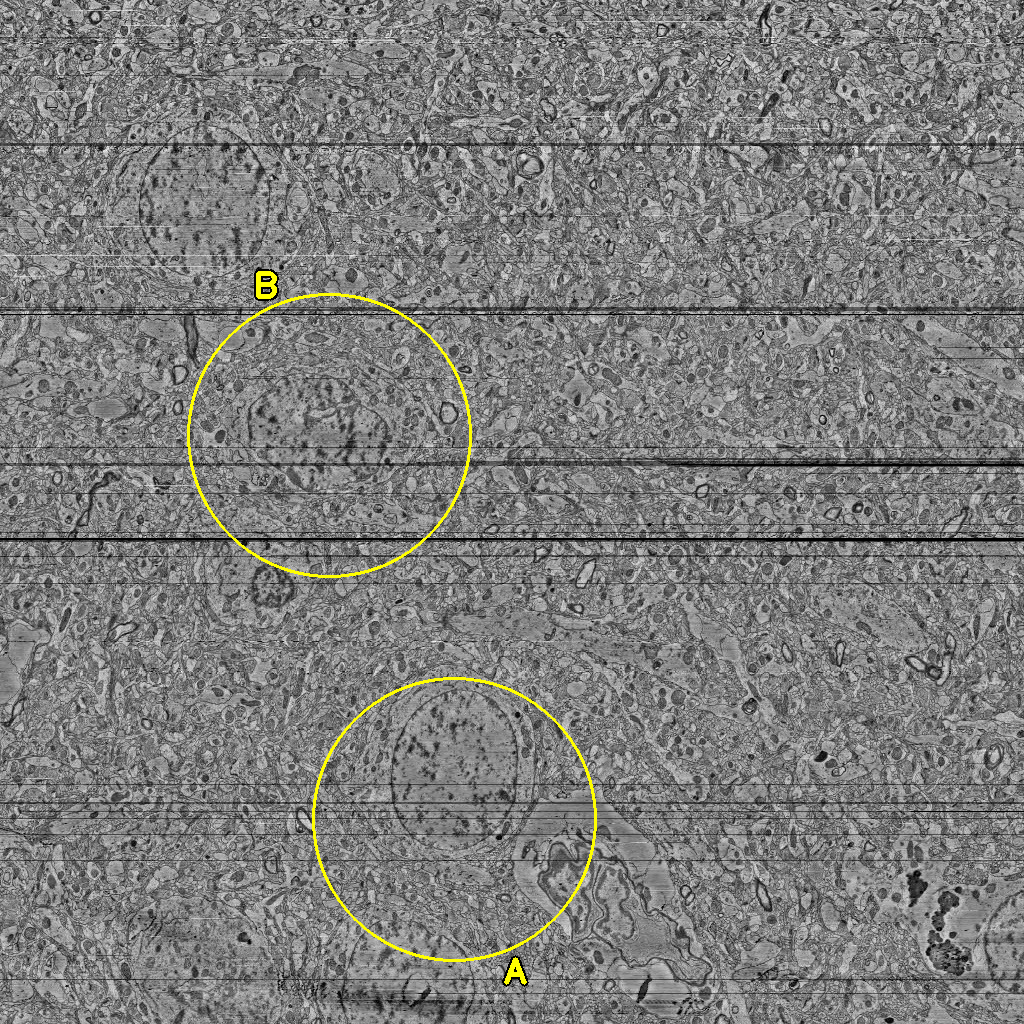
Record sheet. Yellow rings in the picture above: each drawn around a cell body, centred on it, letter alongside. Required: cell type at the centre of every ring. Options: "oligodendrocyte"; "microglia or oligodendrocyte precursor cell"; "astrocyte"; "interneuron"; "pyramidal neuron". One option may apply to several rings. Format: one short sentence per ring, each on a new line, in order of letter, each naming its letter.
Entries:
Ring A contains a pyramidal neuron at the centre.
Ring B contains an interneuron at the centre.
